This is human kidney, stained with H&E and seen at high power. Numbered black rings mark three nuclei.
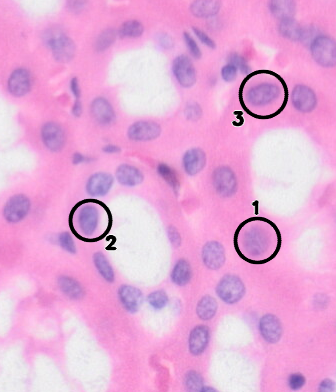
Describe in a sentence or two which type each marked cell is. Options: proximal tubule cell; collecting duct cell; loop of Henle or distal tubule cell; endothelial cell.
Cells 1 and 3 are proximal tubule cells. Cell 2 is a collecting duct cell.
